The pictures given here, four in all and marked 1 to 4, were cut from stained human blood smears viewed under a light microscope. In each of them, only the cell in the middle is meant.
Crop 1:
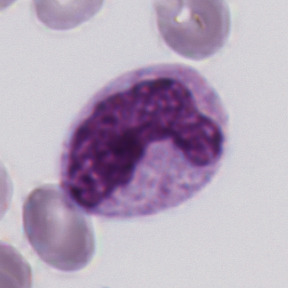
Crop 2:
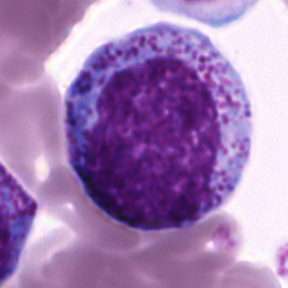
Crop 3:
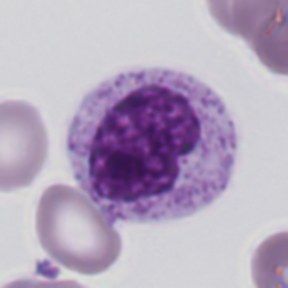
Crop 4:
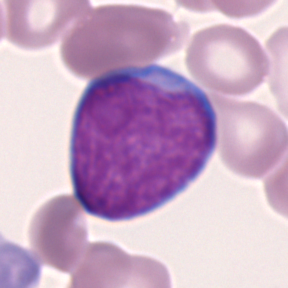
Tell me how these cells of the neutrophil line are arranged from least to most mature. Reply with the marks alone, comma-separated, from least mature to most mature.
4, 2, 3, 1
